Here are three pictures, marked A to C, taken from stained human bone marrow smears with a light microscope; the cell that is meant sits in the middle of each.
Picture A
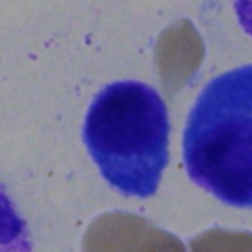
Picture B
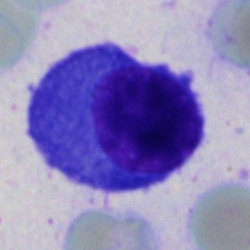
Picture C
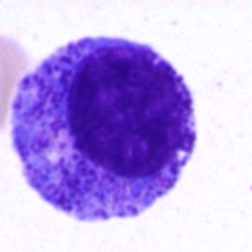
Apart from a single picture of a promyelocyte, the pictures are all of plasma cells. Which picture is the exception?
C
